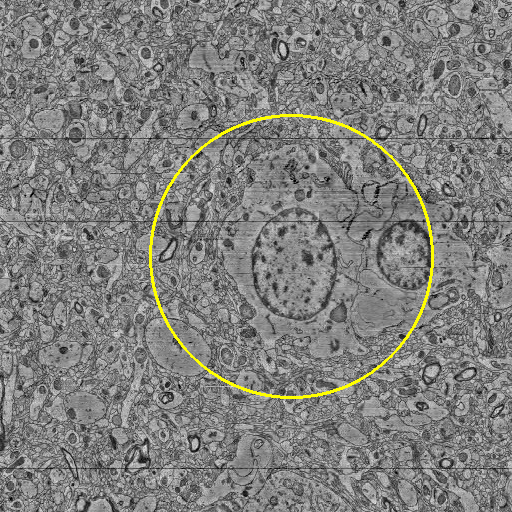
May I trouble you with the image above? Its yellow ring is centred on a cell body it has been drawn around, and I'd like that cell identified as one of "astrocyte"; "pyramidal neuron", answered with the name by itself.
astrocyte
